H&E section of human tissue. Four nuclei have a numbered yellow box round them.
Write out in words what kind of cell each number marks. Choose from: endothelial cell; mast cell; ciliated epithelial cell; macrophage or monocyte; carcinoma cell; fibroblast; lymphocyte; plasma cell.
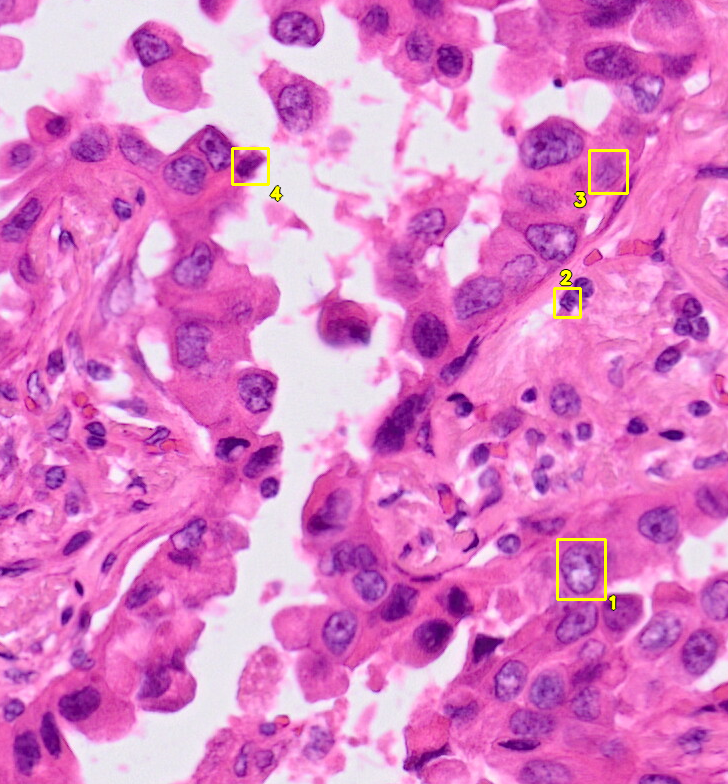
Cells 1, 3 and 4 are carcinoma cells. Cell 2 is a lymphocyte.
